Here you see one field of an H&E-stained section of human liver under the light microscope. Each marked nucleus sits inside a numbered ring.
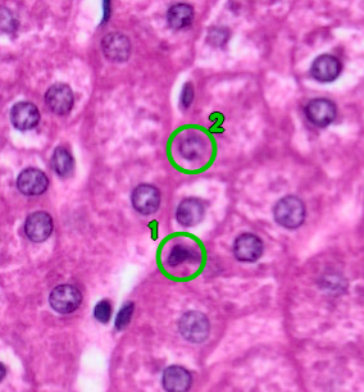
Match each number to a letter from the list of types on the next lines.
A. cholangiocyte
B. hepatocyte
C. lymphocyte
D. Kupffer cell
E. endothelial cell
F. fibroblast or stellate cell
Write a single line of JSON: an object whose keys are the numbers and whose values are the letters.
{"1": "F", "2": "B"}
